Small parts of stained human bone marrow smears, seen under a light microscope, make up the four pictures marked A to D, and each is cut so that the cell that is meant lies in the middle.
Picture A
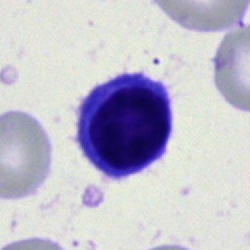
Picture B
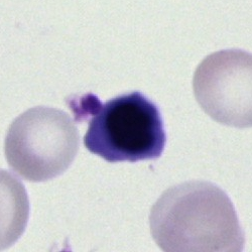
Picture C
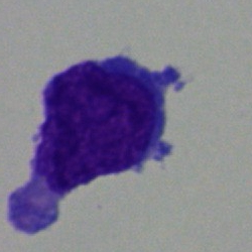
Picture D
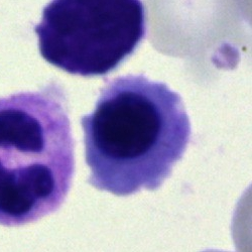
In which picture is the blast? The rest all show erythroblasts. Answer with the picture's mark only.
C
